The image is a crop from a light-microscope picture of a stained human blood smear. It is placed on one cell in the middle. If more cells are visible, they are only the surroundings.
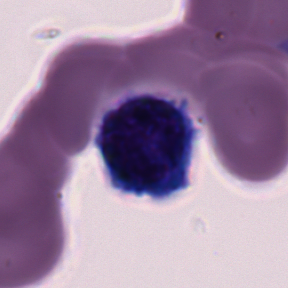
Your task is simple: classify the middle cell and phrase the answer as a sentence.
Here the cell in the middle is a plasma cell.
